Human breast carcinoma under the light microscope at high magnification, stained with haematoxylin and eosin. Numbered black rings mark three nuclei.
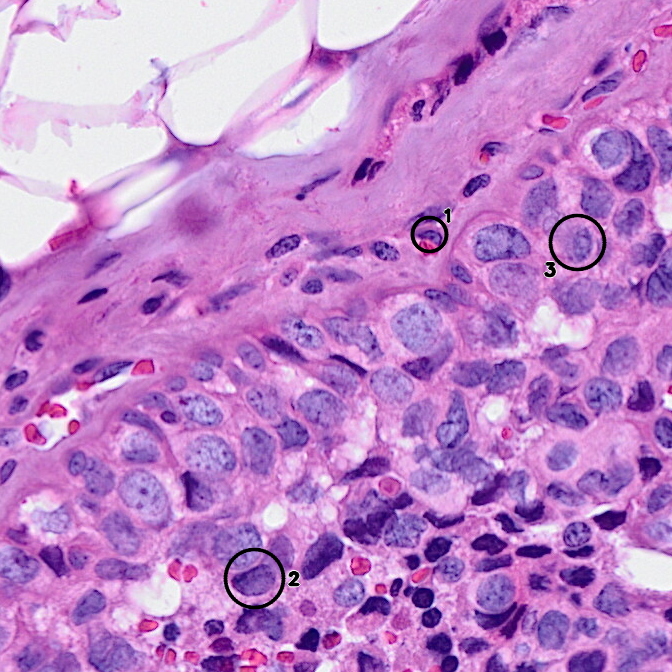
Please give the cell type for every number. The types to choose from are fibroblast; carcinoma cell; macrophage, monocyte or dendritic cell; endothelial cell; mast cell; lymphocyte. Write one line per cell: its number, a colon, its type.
1: endothelial cell
2: carcinoma cell
3: carcinoma cell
